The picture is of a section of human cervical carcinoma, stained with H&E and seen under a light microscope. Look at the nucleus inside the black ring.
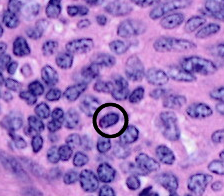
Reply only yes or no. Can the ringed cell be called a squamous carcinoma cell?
yes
